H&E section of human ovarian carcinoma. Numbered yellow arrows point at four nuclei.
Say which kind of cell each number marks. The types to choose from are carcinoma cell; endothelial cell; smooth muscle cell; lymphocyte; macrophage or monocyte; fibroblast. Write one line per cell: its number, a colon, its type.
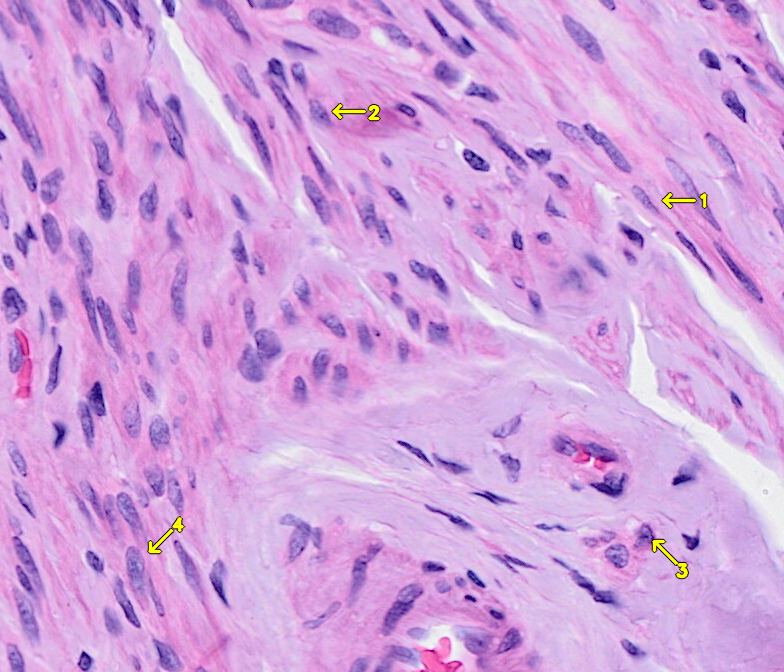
1: smooth muscle cell
2: smooth muscle cell
3: endothelial cell
4: smooth muscle cell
